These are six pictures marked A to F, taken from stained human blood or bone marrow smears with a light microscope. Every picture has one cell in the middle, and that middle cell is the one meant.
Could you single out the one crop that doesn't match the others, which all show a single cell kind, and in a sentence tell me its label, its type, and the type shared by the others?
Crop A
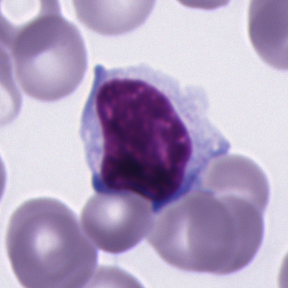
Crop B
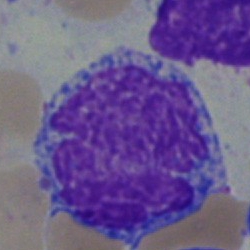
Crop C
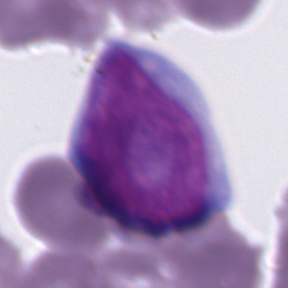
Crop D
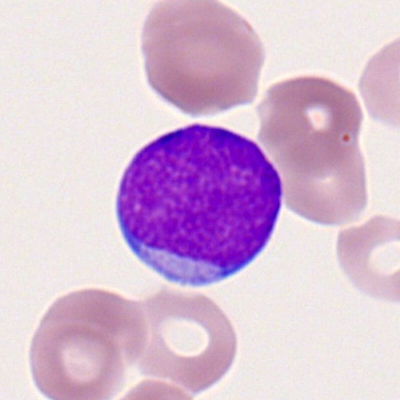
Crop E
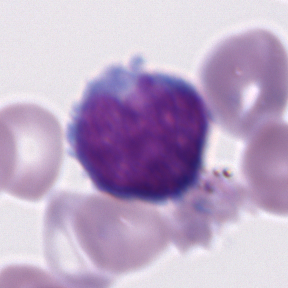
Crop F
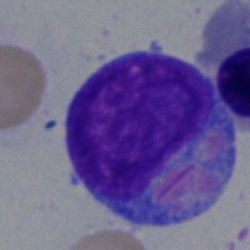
Shown in crop A is a lymphocyte, in contrast to the blasts of all the other crops.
